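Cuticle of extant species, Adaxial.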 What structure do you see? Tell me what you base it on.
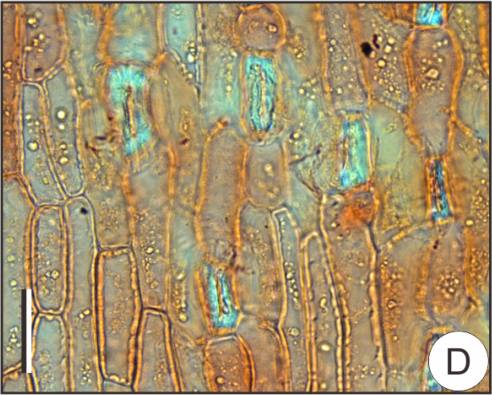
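Several small elongate paired structures with a bluish tint lie among the epidermal cells. They are aligned with the long axis of the cell rows. So: stomata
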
